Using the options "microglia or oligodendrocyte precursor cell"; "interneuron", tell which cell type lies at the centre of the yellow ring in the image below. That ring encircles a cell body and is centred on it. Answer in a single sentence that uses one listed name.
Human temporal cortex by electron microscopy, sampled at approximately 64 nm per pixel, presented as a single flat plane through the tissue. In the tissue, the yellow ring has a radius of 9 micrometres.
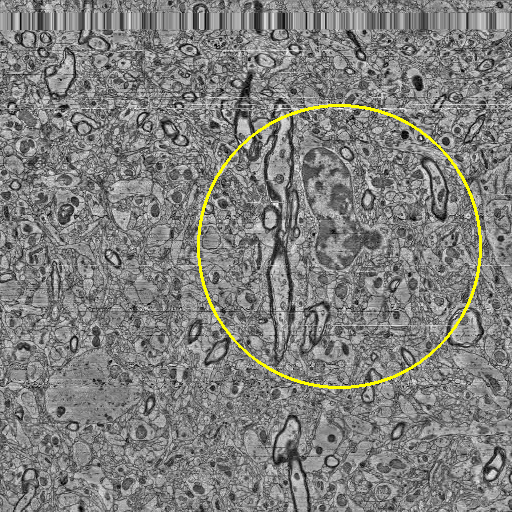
At the centre of the yellow ring lies the body of a microglial cell or oligodendrocyte precursor cell.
